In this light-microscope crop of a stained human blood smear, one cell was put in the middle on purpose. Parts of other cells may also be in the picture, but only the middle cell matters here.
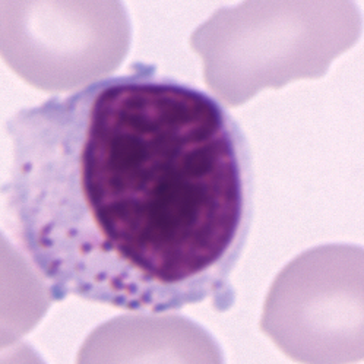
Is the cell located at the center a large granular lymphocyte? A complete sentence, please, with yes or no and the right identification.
Yes, at the centre of the crop lies a large granular lymphocyte.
